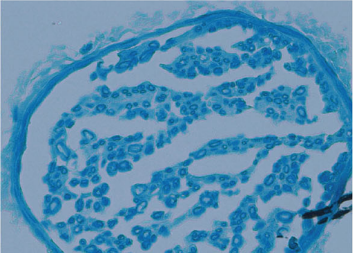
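This is a cross-section of a peripheral nerve stained in blue. A thick, layered blue sheath encloses the whole roughly oval section. Inside, small round axon profiles, each with a blue-stained ring and a pale centre, are packed into elongated, branching clusters. The profiles vary somewhat in size, most being small.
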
